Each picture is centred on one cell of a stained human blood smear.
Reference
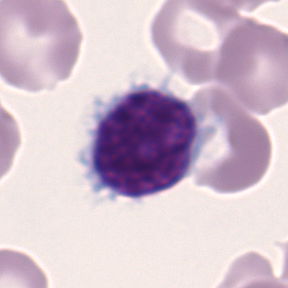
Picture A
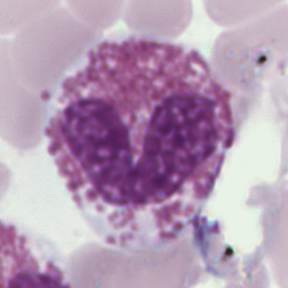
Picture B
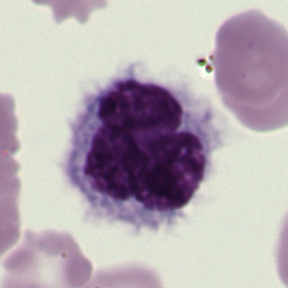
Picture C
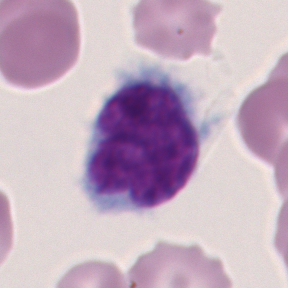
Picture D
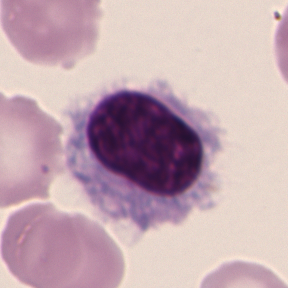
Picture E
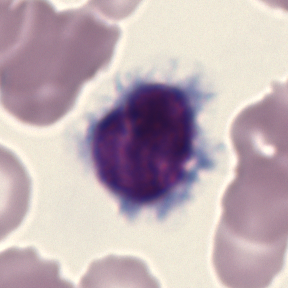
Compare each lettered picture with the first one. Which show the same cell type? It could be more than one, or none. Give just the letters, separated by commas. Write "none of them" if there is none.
B, C, D, E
